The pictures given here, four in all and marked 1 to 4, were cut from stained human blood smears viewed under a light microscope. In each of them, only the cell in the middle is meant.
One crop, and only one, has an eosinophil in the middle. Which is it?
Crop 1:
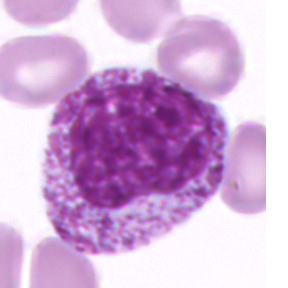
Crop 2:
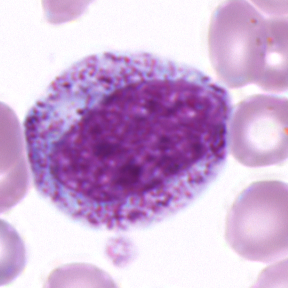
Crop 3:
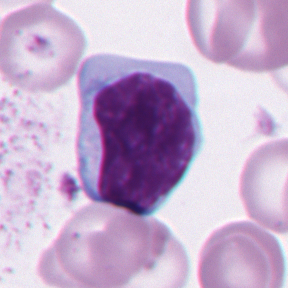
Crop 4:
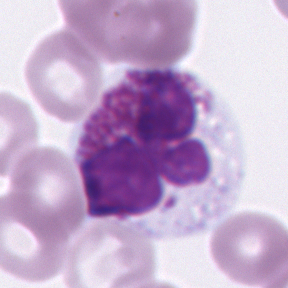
4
